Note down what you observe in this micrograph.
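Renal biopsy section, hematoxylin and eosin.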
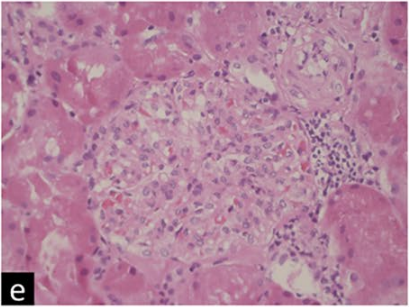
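Kidney cortex with a round glomerulus in the centre, surrounded by pink tubules with granular cytoplasm. A small cluster of dark round inflammatory cells lies just outside the glomerulus to the right, in the interstitium between tubules. The tubular cells are large and pink, some with pale vacuolated cytoplasm. The hypercellular tuft points to proliferative glomerulonephritis with mild interstitial inflammation nearby.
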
